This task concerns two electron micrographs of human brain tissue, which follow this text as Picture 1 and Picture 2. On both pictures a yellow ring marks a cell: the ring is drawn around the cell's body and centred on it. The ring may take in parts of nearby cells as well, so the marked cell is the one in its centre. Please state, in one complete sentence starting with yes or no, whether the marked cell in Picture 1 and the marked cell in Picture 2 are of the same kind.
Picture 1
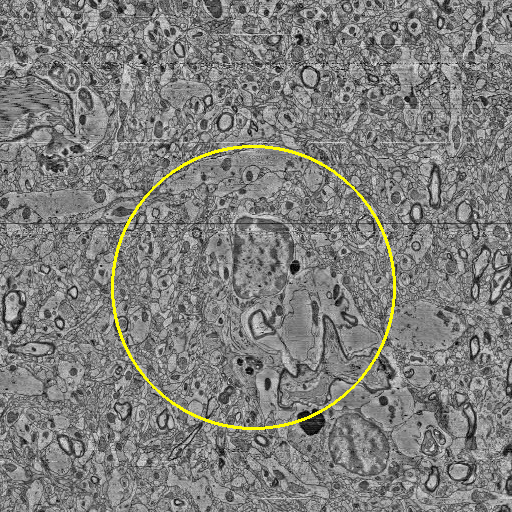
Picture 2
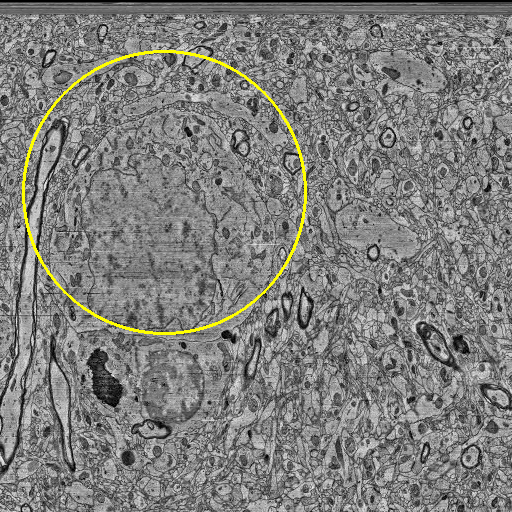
No, the marked cells in the two pictures are of two kinds.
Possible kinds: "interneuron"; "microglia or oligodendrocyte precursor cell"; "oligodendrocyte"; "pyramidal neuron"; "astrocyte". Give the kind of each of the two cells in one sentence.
The cell in the second picture is an interneuron, and that in the first is a microglial cell or oligodendrocyte precursor cell.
